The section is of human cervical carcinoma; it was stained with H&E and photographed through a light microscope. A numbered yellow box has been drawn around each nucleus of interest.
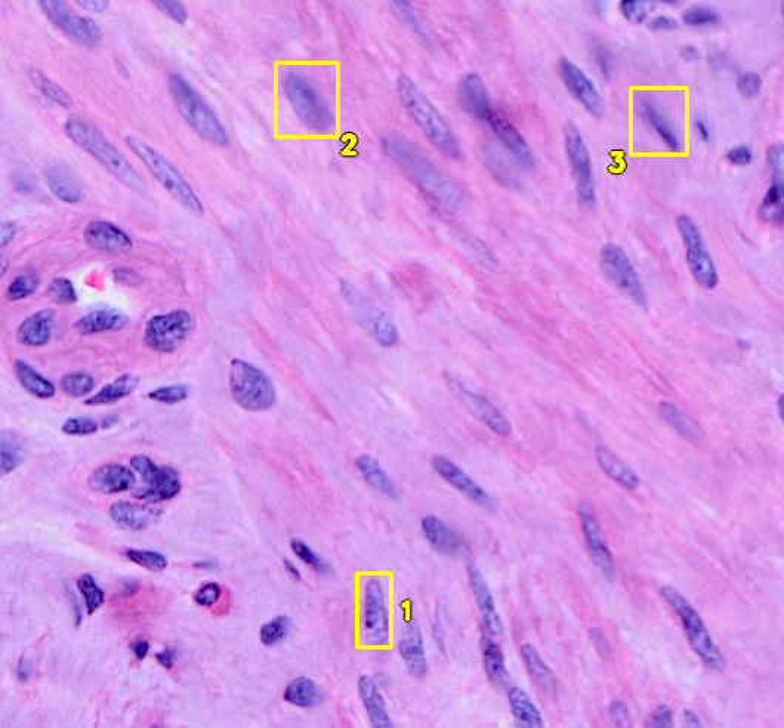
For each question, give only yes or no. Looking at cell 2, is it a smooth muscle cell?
no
